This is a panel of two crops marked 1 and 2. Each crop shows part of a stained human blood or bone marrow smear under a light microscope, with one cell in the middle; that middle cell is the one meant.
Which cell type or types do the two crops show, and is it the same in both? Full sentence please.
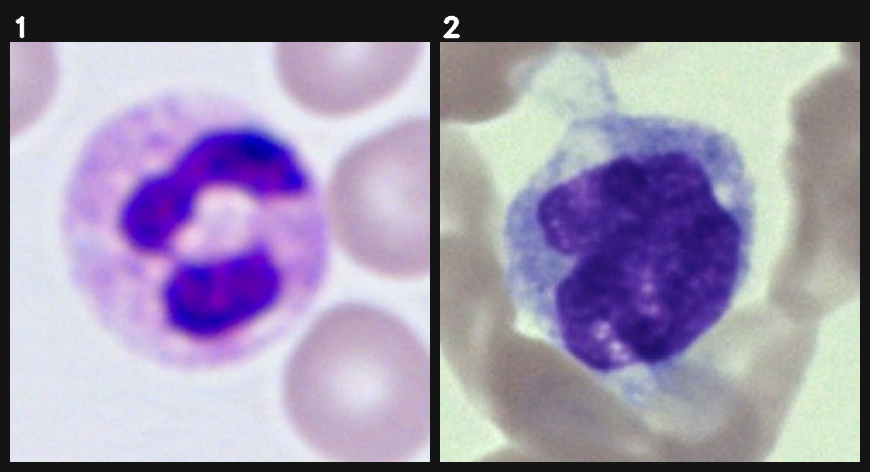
No, crop 1 captures a neutrophil; meanwhile crop 2 captures a monocyte.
